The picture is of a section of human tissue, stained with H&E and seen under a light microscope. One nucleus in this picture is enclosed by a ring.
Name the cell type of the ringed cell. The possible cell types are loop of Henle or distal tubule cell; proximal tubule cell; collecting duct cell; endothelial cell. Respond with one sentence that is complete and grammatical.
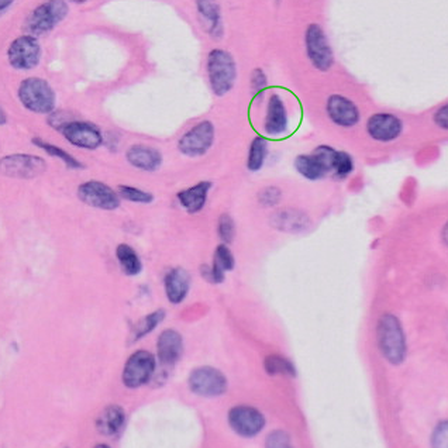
Placed in its cell category, the ringed cell is an endothelial cell.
